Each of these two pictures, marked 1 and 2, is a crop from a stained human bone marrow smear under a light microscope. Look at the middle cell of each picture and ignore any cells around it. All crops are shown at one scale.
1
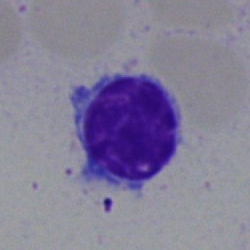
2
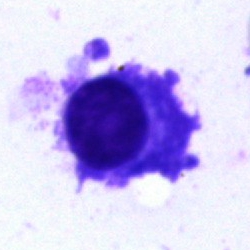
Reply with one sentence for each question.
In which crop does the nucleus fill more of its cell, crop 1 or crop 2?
In crop 1 the nucleus takes up the larger part of its cell.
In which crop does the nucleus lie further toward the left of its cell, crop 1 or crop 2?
In crop 2 the nucleus is shifted more toward the left.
